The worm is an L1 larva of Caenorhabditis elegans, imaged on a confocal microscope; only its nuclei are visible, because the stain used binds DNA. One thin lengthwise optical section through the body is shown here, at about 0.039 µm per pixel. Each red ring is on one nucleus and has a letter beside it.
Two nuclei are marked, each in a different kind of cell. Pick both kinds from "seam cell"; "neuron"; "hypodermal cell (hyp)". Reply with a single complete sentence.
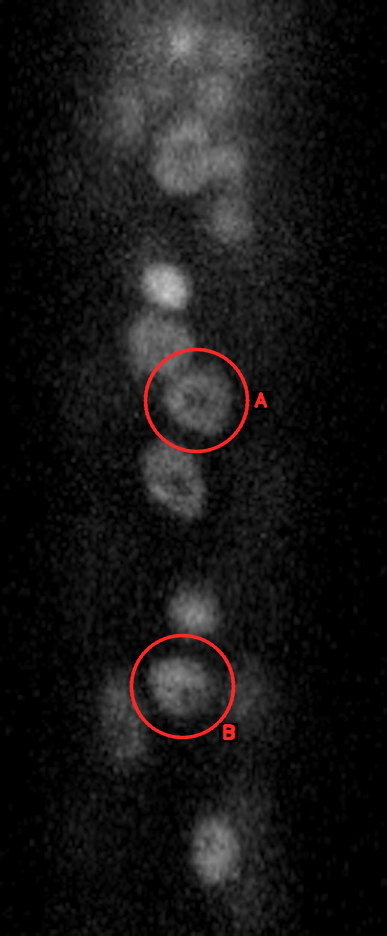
A is in a hypodermal cell (hyp) and B is in a seam cell.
